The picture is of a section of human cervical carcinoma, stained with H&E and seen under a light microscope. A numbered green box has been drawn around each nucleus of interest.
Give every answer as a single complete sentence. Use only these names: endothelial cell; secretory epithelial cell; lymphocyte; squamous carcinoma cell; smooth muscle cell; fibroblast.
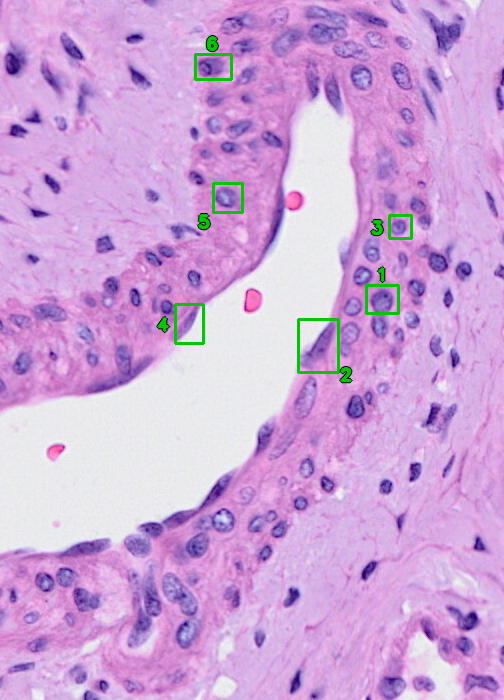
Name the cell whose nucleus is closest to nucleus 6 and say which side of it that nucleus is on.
It is a smooth muscle cell, whose nucleus lies below nucleus 6.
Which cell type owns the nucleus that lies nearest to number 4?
The nucleus nearest to number 4 is that of a smooth muscle cell.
